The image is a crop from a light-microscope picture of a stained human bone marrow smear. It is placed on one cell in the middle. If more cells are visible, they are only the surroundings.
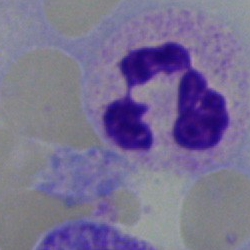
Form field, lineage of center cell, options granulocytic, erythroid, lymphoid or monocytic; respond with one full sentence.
The central cell in this crop is categorized under the granulocytic lineage.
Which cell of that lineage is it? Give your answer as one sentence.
By classification, the middle cell of this crop is a segmented neutrophil.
